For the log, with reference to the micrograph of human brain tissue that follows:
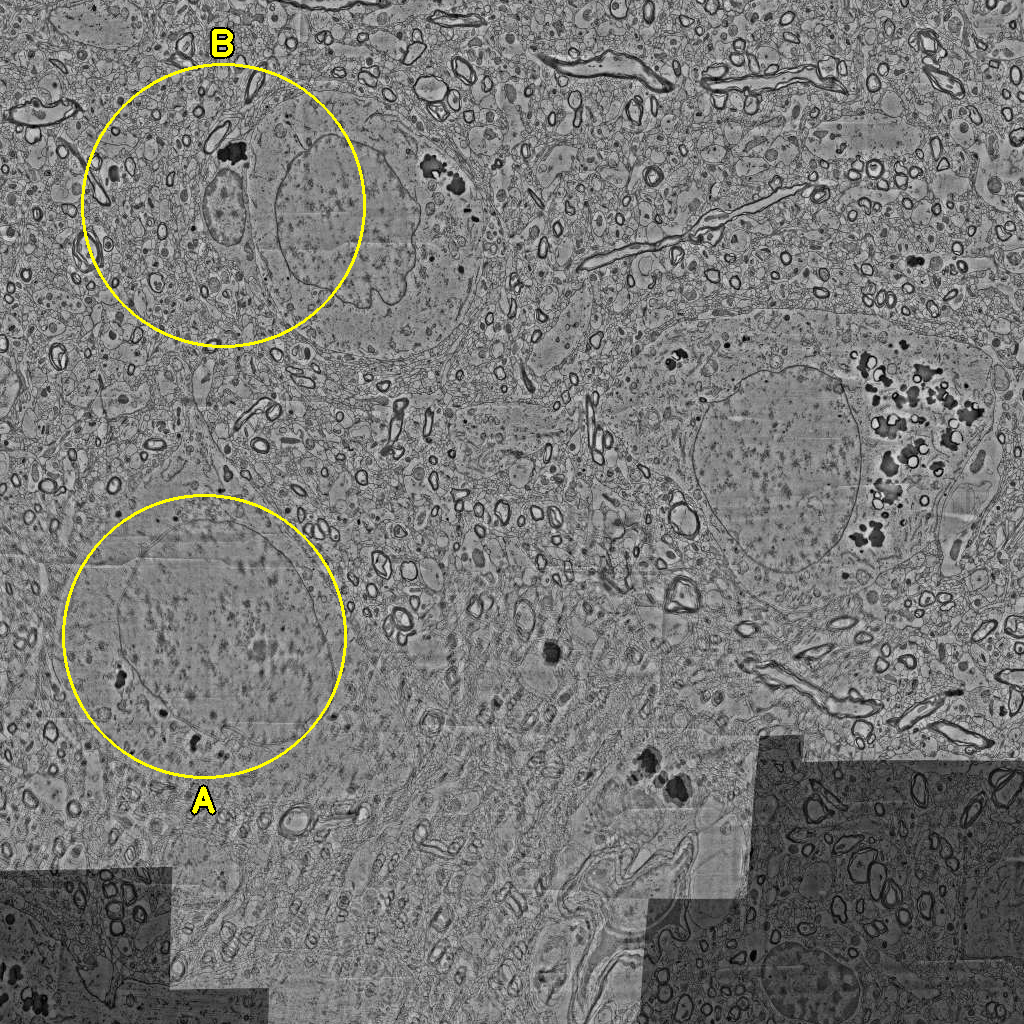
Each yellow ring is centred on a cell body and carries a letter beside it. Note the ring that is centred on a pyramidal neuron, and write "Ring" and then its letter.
Ring A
